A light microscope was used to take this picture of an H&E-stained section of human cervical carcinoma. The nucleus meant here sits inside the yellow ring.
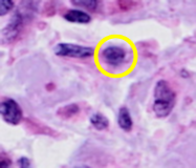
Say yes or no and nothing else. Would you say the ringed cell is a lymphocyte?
yes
